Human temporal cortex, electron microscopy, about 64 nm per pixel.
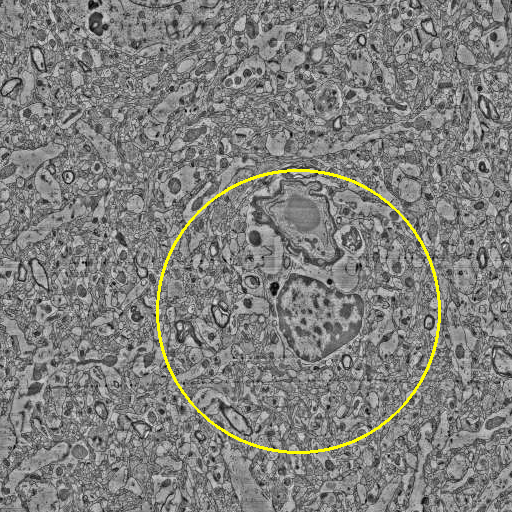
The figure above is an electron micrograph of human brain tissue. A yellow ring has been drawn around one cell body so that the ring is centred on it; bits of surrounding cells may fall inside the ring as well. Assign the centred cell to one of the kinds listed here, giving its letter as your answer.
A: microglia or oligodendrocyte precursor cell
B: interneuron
A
